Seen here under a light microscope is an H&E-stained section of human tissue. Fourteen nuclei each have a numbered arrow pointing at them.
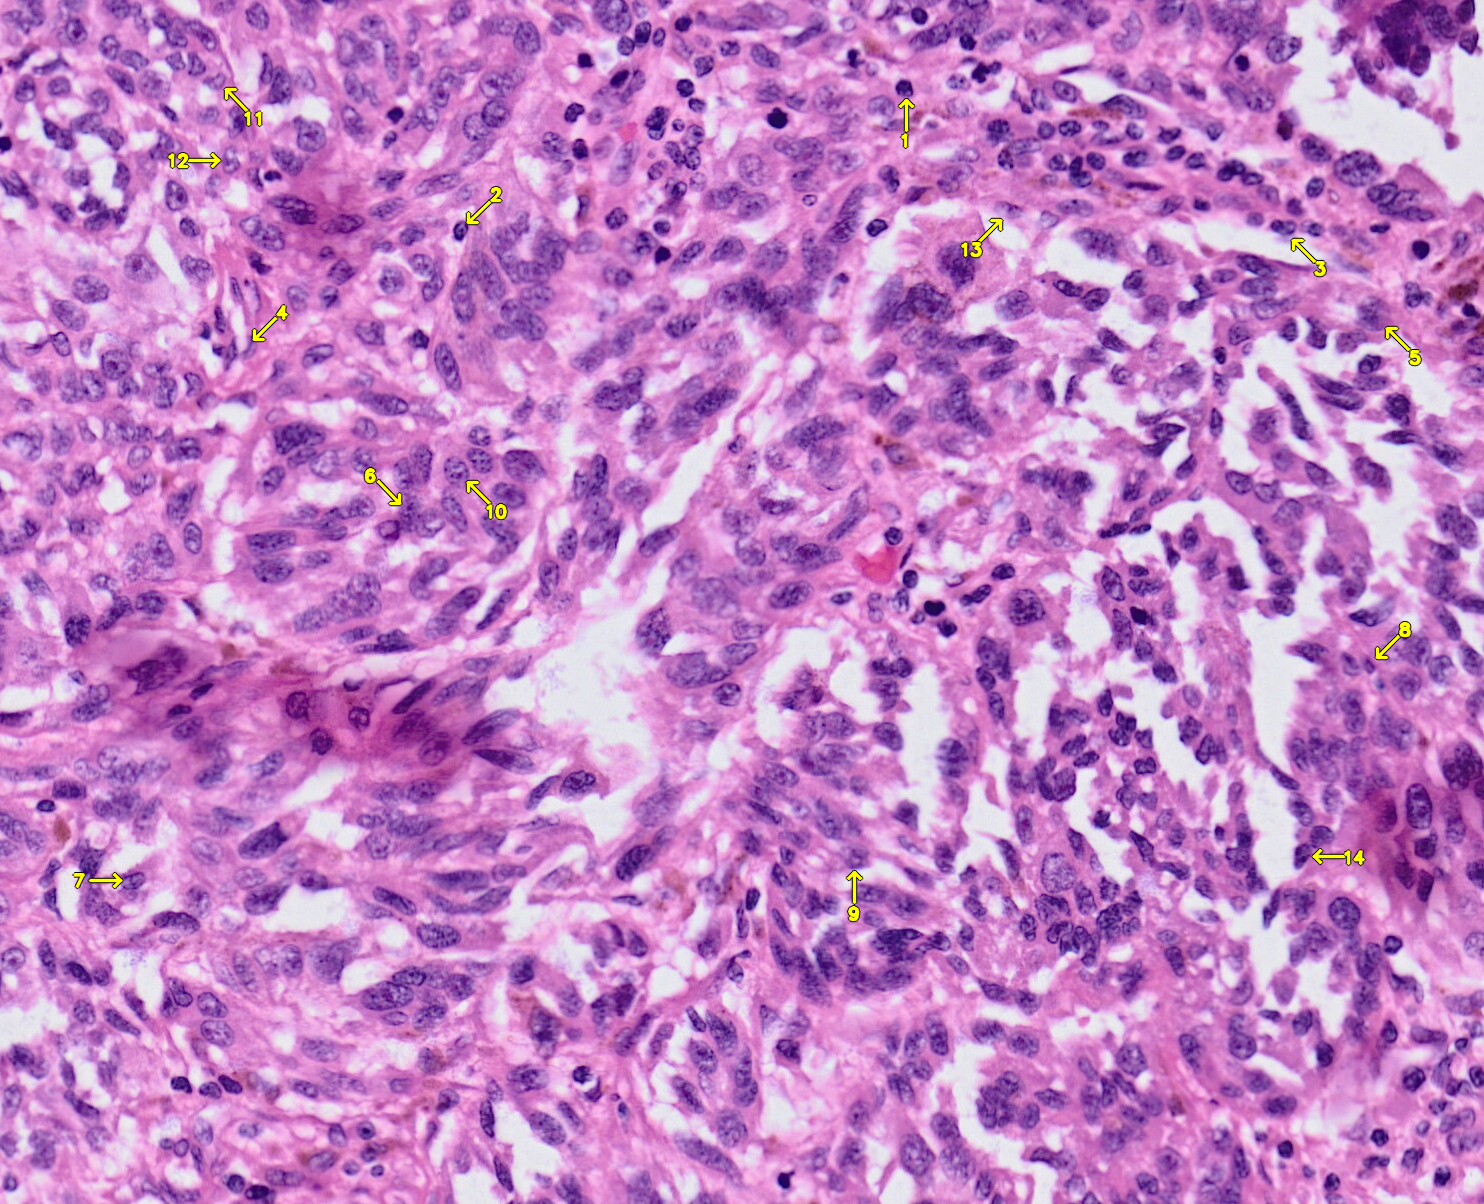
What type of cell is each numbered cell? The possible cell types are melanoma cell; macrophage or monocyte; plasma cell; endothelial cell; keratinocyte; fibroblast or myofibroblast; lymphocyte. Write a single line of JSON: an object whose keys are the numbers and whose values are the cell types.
{"1": "lymphocyte", "2": "lymphocyte", "3": "lymphocyte", "4": "endothelial cell", "5": "melanoma cell", "6": "melanoma cell", "7": "melanoma cell", "8": "macrophage or monocyte", "9": "melanoma cell", "10": "melanoma cell", "11": "melanoma cell", "12": "melanoma cell", "13": "macrophage or monocyte", "14": "melanoma cell"}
